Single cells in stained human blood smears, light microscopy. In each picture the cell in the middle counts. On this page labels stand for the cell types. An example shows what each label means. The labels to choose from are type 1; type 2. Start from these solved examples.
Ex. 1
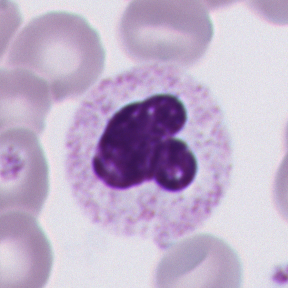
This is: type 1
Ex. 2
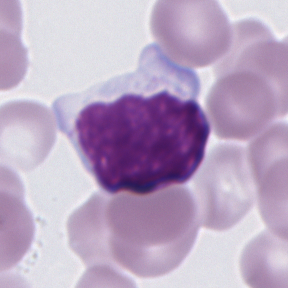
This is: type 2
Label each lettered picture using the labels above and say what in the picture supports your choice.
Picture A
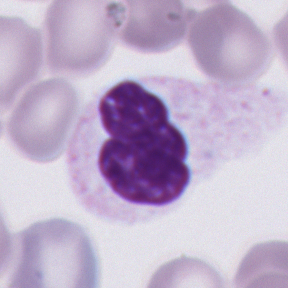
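type 1. The cytoplasm is plentiful and pale pinkish-lilac.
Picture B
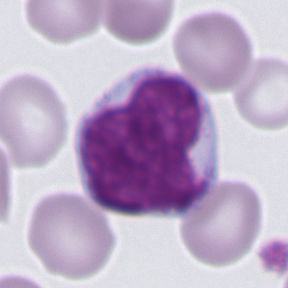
type 2. The cytoplasm forms only a thin, very pale grey-blue rim.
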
